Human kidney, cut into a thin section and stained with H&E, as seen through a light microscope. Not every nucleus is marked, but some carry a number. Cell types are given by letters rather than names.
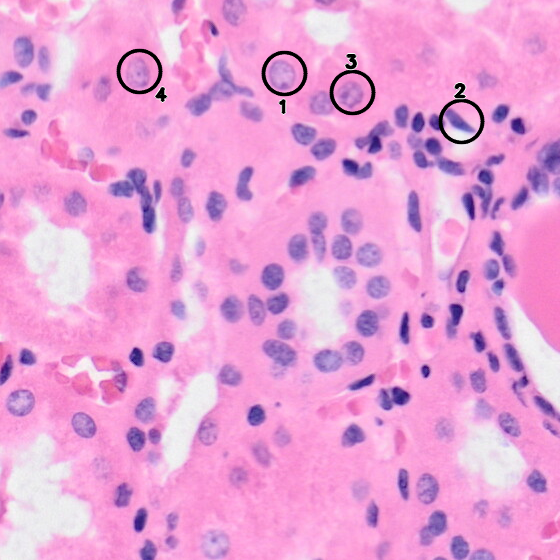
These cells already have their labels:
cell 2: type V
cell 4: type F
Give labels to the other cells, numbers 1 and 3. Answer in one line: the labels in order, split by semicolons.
type F; type F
